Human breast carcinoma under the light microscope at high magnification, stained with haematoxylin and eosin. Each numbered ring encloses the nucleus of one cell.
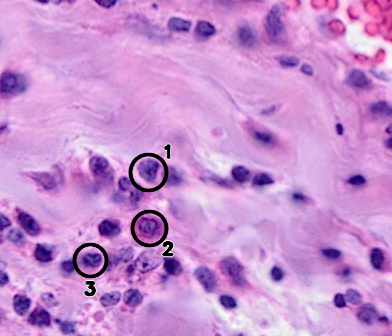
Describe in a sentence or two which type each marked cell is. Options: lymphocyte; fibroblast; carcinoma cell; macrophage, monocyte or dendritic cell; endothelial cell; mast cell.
Cell 1 is a lymphocyte, cell 2 is a mast cell and cell 3 is a mast cell.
